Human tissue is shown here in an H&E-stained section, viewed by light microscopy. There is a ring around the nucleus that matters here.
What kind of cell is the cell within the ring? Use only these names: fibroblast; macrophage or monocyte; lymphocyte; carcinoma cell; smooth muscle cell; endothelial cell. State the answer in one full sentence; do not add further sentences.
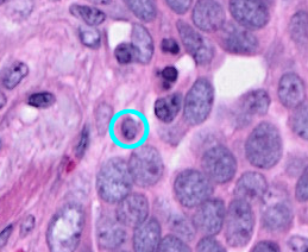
The identity of the cell within the ring: it is a macrophage or monocyte.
